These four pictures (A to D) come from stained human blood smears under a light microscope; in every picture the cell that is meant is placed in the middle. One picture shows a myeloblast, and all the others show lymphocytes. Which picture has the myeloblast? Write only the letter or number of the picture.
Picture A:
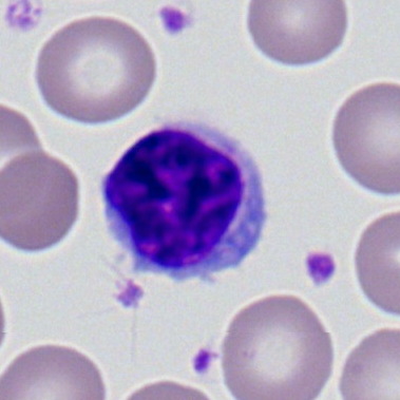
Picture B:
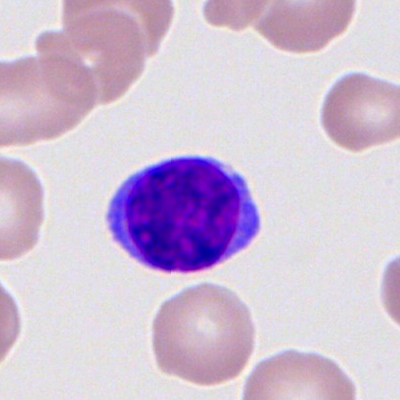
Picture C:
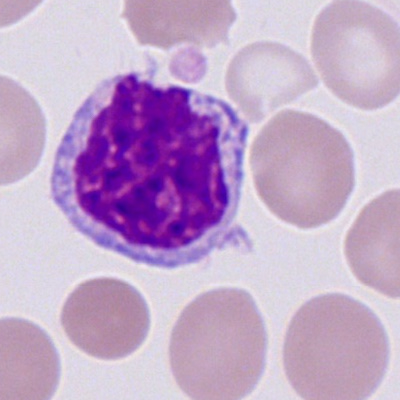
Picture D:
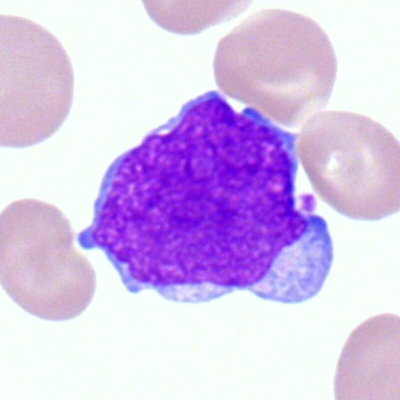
D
